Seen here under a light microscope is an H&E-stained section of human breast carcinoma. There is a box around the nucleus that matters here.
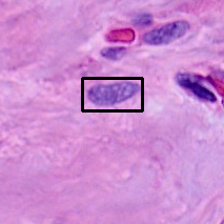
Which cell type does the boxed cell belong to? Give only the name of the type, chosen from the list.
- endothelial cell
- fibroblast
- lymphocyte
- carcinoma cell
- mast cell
fibroblast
